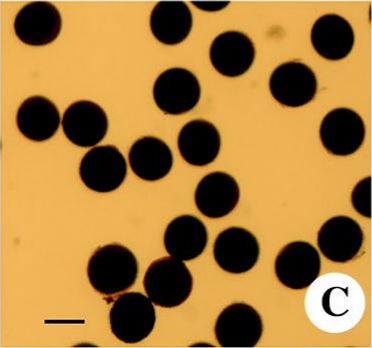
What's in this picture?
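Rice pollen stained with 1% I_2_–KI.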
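Every grain is round, of about the same size, and stained a deep, even black throughout. No pale, empty or partly stained grains are to be seen among them. The grains lie scattered singly or touching in small groups on a pale yellow background.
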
